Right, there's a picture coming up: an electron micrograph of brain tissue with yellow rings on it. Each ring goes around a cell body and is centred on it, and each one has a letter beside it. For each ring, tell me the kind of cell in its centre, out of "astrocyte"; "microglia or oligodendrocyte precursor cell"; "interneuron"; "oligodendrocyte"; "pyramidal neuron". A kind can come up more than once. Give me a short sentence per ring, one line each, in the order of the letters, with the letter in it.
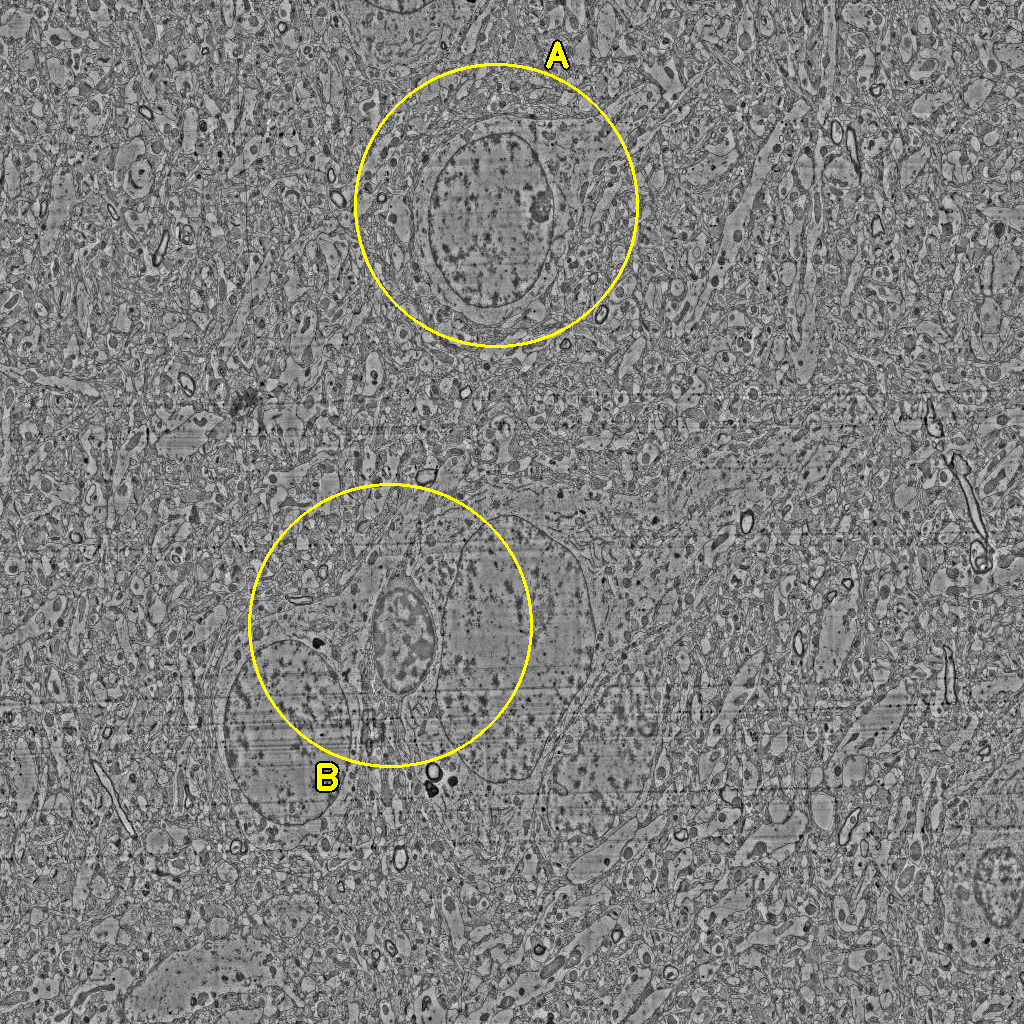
That's a pyramidal neuron in ring A.
That's an oligodendrocyte in ring B.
